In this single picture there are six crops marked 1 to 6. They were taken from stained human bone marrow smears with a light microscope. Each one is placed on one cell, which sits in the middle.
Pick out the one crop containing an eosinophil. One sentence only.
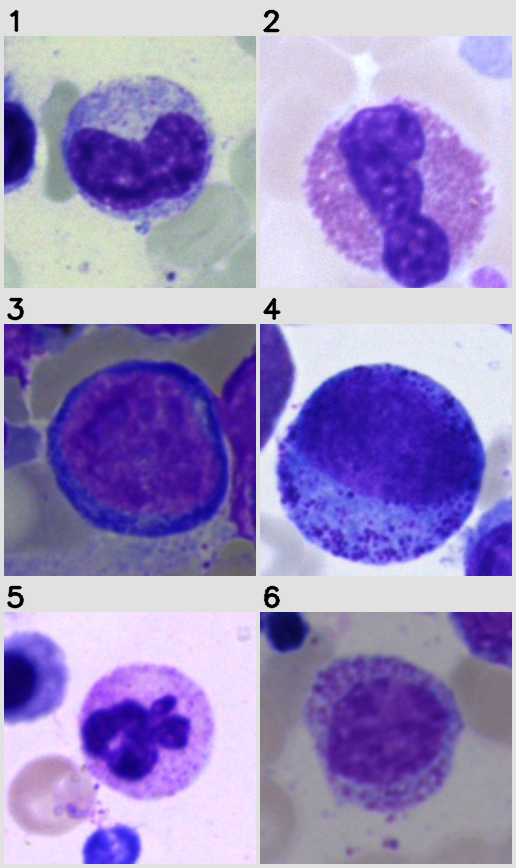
The crop with an eosinophil in it is crop 2.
